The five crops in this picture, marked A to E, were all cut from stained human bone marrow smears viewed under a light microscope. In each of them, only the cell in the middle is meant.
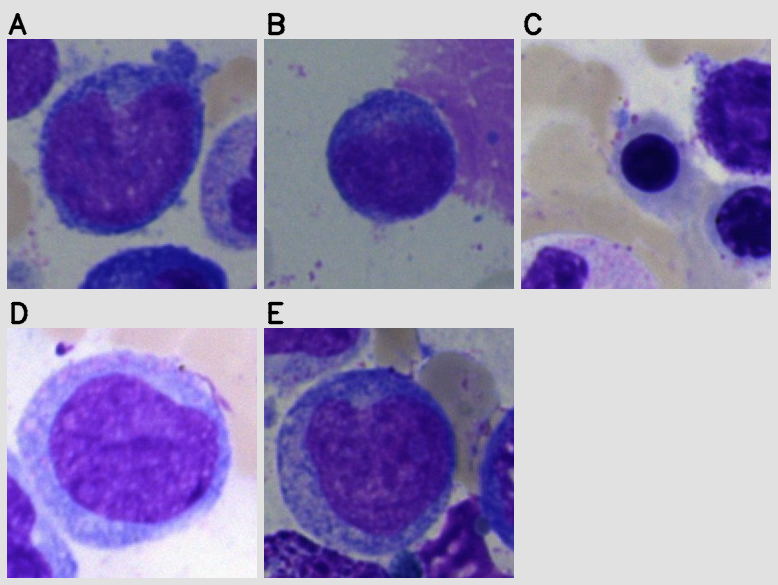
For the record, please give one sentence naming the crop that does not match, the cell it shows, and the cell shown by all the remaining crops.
Crop C stands apart from the rest as an erythroblast, the others all being blasts.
